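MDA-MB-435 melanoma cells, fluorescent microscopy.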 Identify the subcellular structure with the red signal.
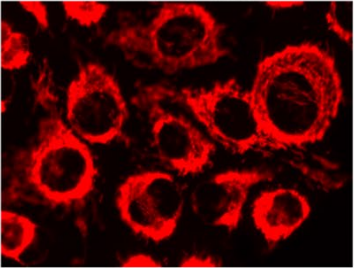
Mitochondria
